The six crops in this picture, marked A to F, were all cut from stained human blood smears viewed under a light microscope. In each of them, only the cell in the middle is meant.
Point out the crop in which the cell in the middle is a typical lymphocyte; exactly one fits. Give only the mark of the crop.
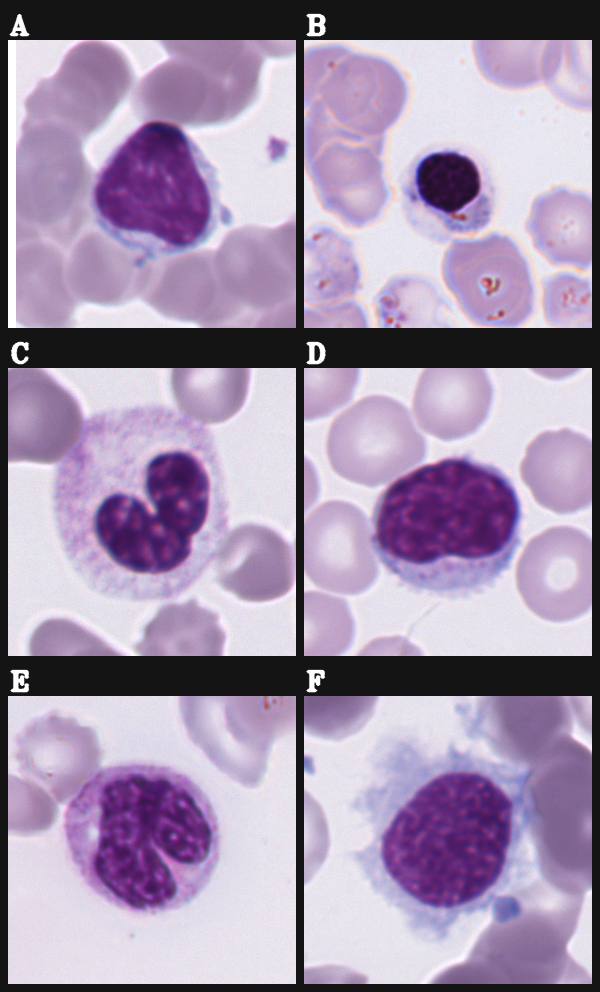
D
